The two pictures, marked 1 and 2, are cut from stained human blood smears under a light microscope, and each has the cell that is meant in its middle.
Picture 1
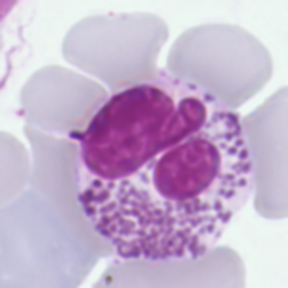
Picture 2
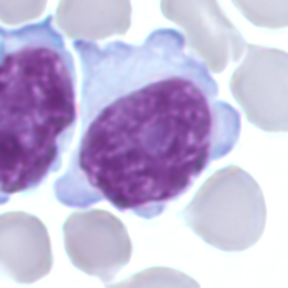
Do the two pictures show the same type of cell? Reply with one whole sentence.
No, the types are not the same, since picture 1 shows an eosinophil and picture 2 a plasma cell.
